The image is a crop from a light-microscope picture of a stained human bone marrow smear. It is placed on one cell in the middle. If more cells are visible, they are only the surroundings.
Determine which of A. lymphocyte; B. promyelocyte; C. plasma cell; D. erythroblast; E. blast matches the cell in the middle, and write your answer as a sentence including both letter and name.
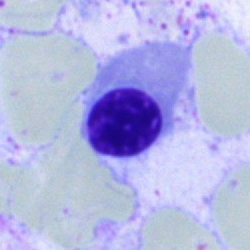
Option D, which names the central cell as an erythroblast, is correct.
